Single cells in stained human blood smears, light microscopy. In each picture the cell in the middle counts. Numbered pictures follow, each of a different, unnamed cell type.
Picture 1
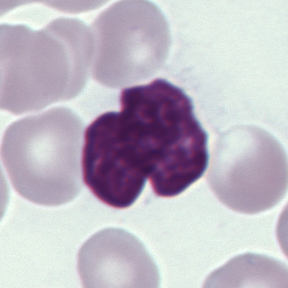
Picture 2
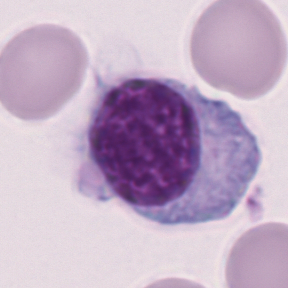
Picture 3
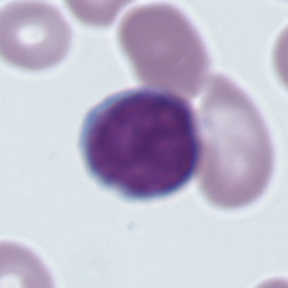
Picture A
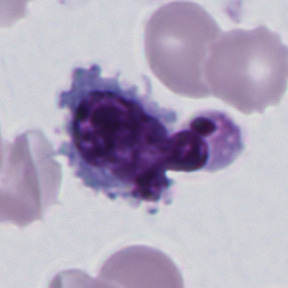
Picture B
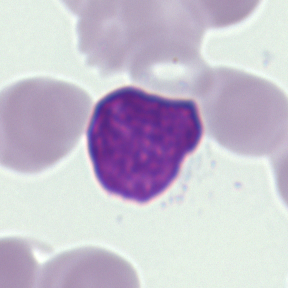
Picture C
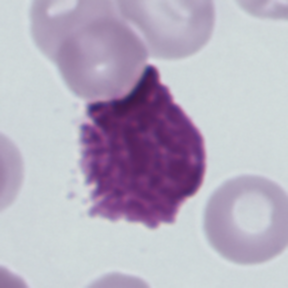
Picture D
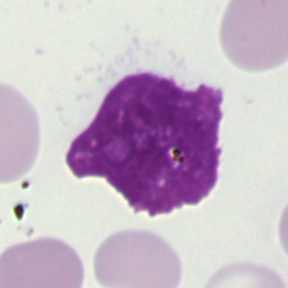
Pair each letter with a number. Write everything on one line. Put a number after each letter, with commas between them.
A 2, B 1, C 1, D 1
